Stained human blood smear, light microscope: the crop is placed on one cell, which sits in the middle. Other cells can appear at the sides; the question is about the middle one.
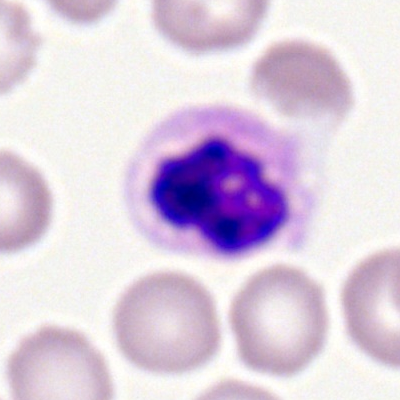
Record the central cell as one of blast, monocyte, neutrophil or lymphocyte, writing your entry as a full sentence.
The central cell in this smear crop is a neutrophil.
